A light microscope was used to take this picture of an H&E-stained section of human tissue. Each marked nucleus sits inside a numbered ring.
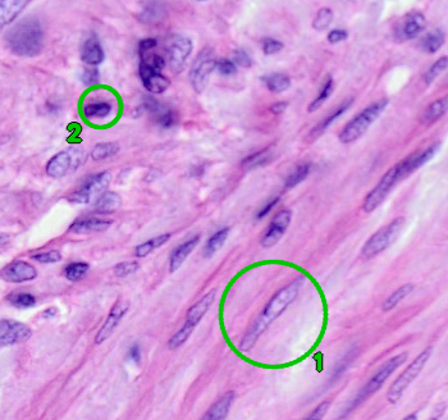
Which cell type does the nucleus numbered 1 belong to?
smooth muscle cell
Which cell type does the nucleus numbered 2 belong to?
lymphocyte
